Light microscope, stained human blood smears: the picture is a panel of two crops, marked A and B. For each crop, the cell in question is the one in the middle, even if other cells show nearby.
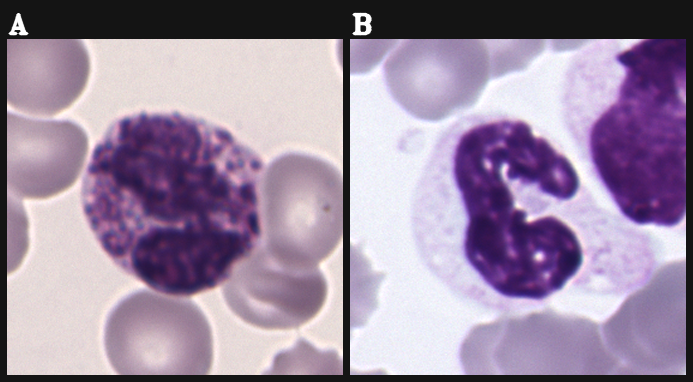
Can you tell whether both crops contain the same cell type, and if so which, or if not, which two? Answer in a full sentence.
No, crop A carries a basophil and crop B carries a neutrophil.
